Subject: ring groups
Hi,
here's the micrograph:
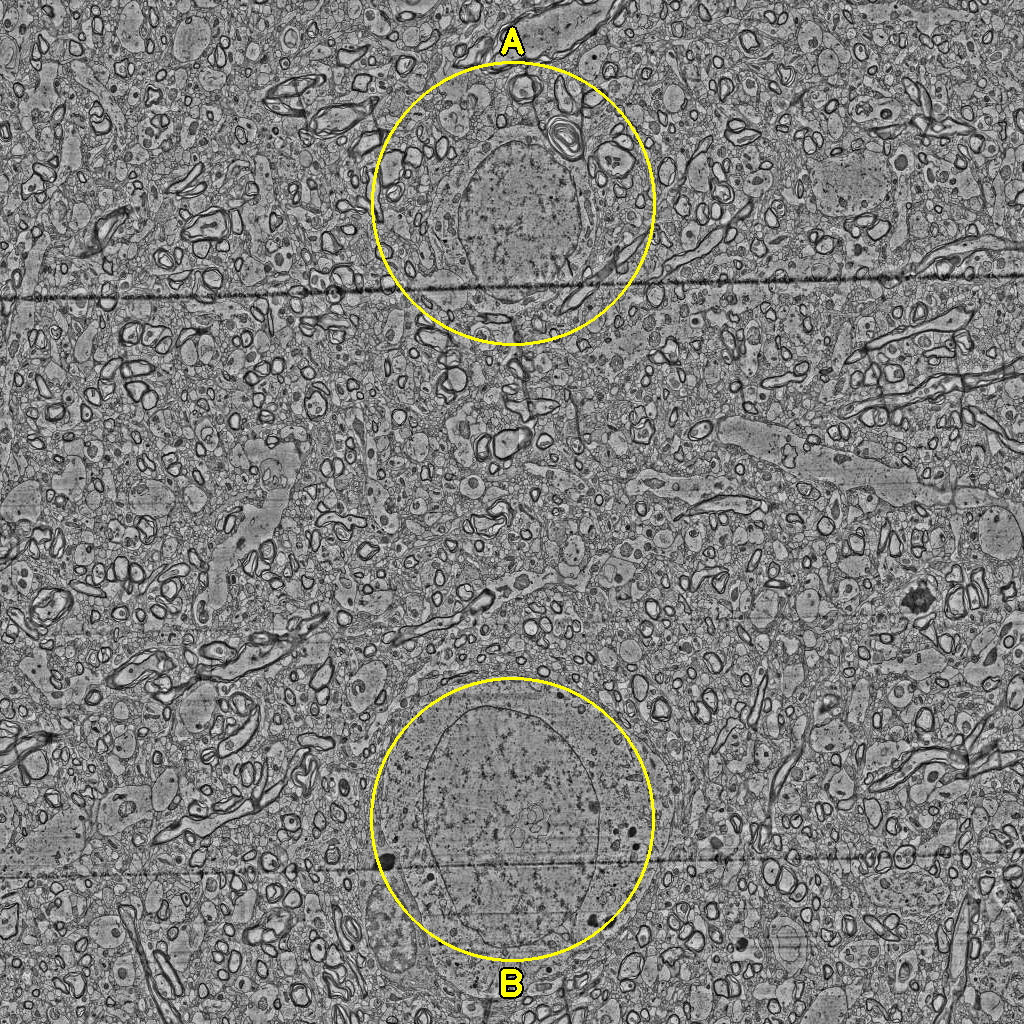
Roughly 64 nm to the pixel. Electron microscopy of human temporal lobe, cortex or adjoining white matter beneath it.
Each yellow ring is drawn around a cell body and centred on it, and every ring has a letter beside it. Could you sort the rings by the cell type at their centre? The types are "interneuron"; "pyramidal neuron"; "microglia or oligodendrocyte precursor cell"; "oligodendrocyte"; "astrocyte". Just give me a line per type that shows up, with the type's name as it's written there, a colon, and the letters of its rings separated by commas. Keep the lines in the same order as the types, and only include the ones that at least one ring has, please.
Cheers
interneuron: A
pyramidal neuron: B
